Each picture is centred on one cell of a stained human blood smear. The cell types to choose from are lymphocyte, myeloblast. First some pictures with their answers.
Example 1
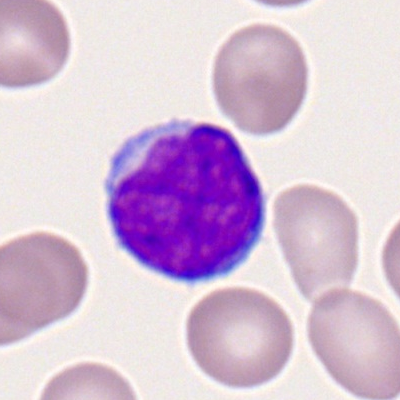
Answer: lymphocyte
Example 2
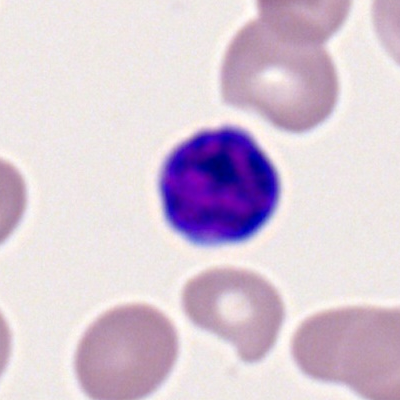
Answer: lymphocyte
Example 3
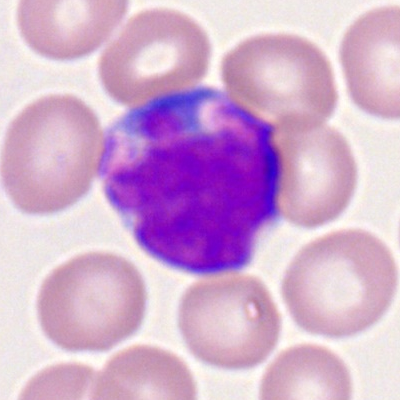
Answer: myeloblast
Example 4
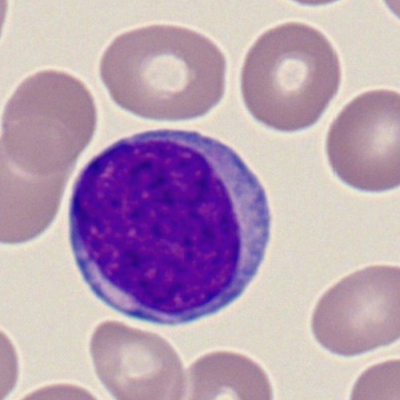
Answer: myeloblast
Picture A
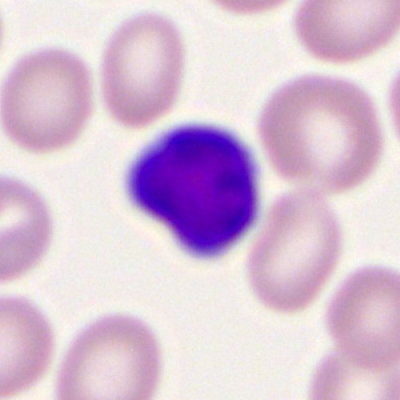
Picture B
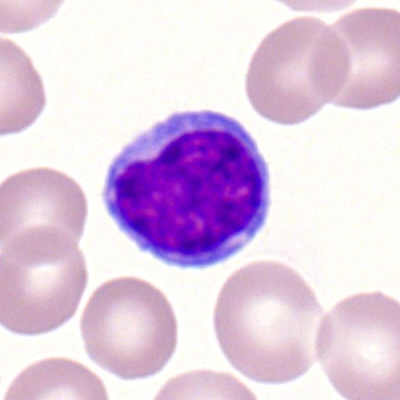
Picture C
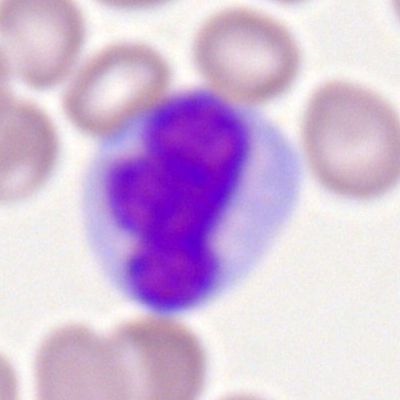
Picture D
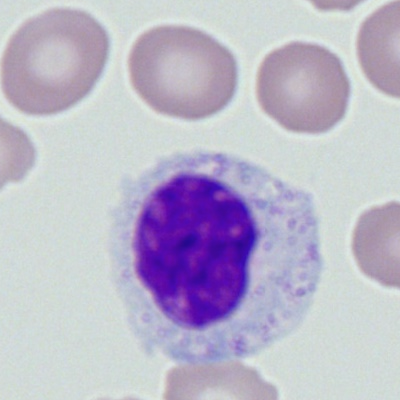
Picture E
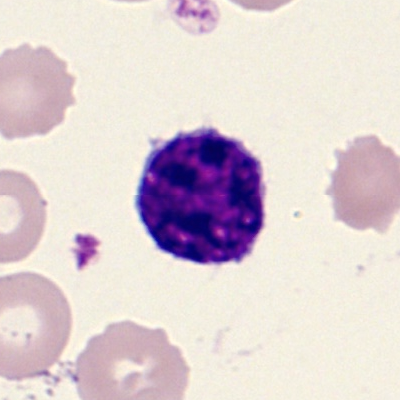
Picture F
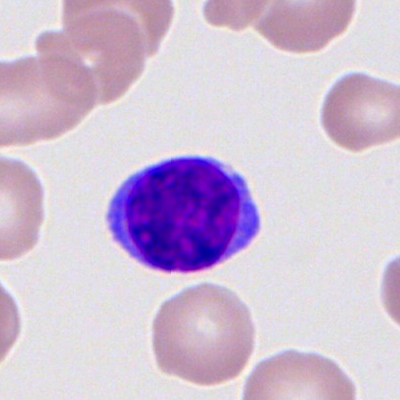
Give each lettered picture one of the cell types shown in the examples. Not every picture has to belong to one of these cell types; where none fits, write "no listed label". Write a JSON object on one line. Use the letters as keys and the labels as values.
{"A": "lymphocyte", "B": "lymphocyte", "C": "no listed label", "D": "lymphocyte", "E": "lymphocyte", "F": "lymphocyte"}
